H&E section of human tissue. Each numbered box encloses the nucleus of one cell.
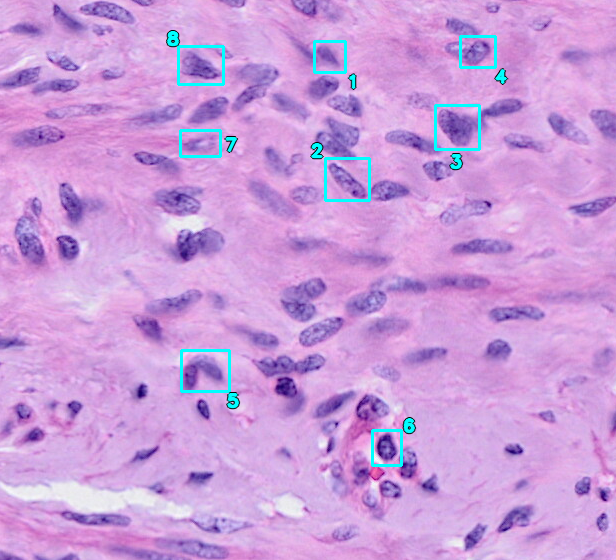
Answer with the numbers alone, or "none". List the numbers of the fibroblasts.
1, 2, 3, 5, 8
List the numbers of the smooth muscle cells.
4, 7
